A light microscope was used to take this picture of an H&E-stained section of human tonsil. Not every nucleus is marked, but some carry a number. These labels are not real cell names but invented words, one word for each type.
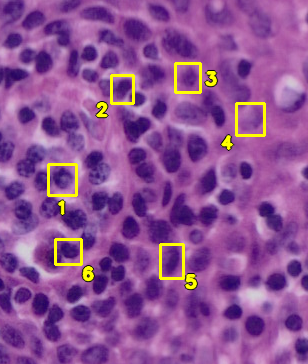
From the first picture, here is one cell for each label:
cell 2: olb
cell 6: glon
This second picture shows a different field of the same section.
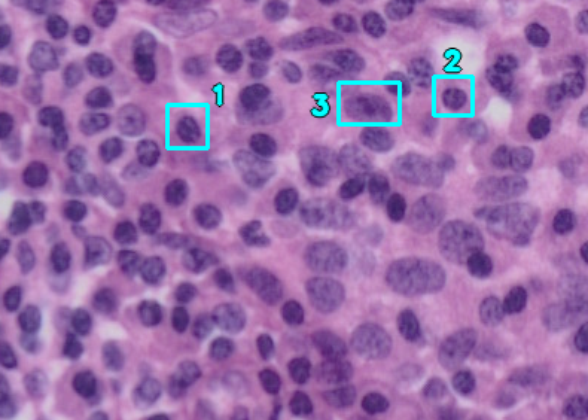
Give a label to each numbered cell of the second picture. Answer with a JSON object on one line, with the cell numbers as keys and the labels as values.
{"1": "glon", "2": "glon", "3": "olb"}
